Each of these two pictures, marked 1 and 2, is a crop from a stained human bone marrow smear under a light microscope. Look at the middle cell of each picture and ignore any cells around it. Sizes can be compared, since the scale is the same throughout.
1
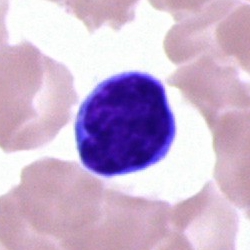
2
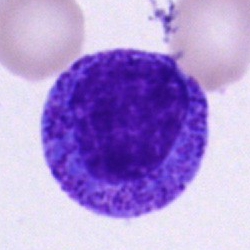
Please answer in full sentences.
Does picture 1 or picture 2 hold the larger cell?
It is the cell in picture 2, about 2.5 times as large in area as the cell in picture 1.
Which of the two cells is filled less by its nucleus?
In picture 2 the nucleus takes up the smaller part of its cell.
